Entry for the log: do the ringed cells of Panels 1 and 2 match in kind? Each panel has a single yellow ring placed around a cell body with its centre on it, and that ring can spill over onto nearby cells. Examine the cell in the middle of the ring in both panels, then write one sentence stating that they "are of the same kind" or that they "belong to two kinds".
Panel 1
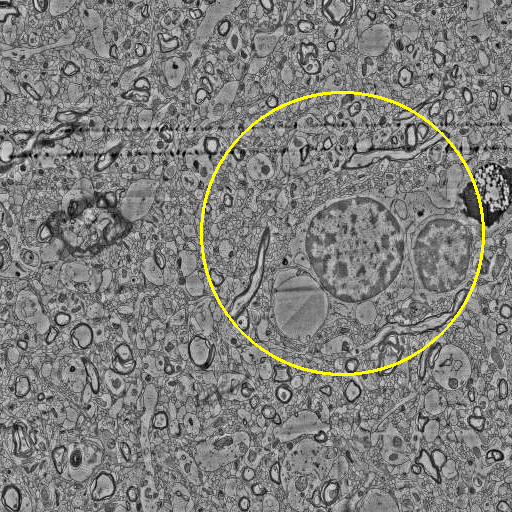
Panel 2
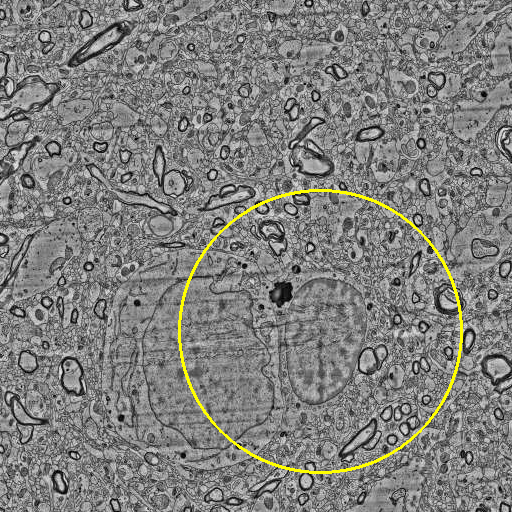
The centre cell of Panel 1's ring and that of Panel 2's ring belong to two kinds.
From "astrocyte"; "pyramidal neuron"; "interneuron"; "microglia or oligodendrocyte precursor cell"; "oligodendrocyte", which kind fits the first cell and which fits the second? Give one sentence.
The cell marked in the first picture is a microglial cell or oligodendrocyte precursor cell, and the one marked in the second is an oligodendrocyte.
